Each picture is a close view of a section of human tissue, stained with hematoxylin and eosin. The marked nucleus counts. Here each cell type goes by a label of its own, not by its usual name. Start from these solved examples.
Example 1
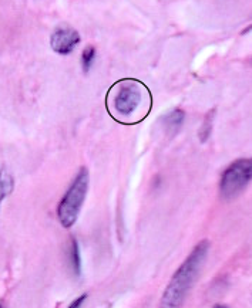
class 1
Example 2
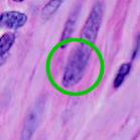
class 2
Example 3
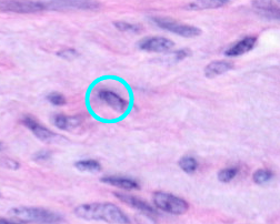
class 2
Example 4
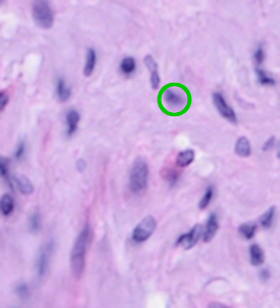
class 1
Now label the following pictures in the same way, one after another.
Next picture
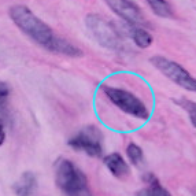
class 2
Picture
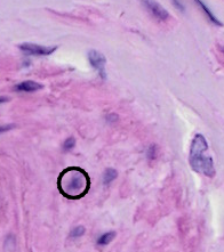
class 2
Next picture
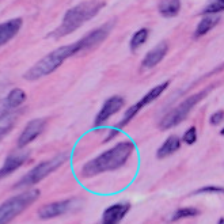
class 2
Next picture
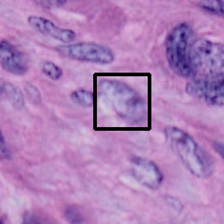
class 1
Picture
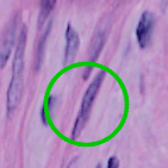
class 2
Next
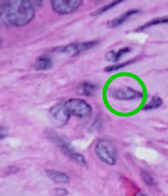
class 1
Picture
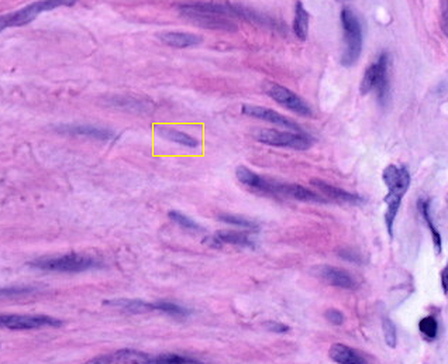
class 2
